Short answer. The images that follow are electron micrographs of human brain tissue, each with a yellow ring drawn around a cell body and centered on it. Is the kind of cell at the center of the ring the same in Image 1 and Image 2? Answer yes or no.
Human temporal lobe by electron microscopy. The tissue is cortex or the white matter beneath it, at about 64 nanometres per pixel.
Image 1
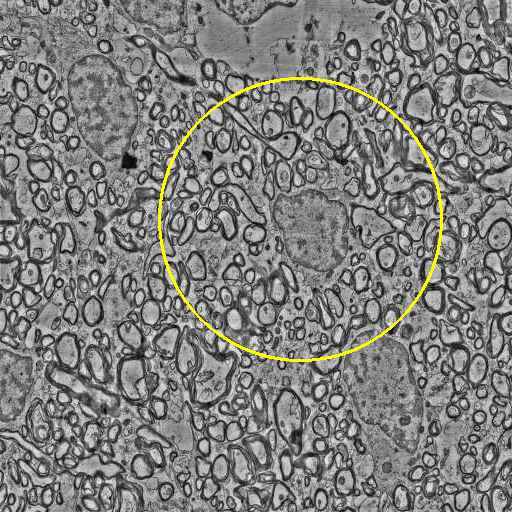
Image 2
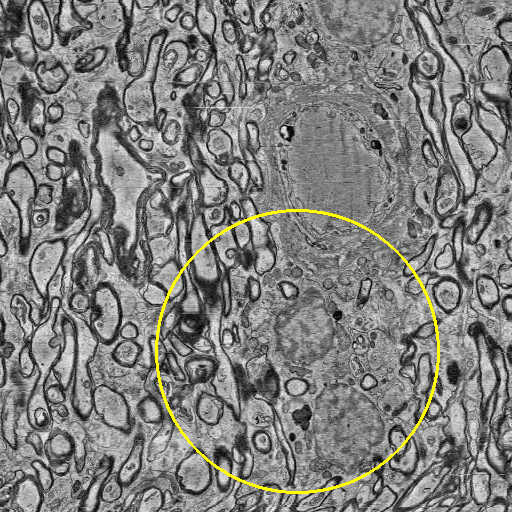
yes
